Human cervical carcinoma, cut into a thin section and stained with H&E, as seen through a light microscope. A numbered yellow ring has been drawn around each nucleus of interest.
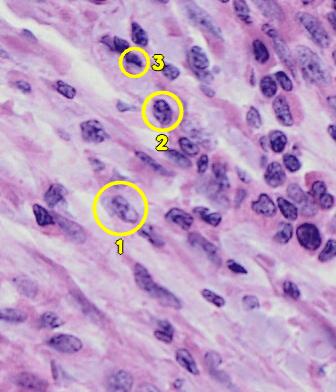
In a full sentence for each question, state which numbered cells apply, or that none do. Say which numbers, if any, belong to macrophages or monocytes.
Of the cells marked with numbers, cell 1 is the only one that is a macrophage or monocyte.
